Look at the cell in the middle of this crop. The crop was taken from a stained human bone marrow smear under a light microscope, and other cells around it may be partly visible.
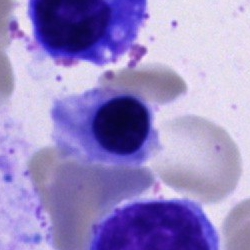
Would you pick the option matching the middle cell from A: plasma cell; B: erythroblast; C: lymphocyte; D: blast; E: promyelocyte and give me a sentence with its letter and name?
Well, the cell in the middle is an erythroblast, making option B right.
